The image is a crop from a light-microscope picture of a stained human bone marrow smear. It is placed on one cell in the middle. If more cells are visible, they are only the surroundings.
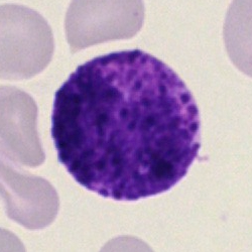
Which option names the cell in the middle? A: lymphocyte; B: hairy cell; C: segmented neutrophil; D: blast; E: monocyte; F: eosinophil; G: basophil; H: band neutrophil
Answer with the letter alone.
G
